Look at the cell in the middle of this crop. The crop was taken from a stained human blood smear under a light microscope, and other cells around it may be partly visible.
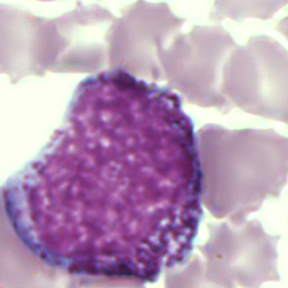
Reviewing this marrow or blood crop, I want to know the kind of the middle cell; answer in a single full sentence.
In the central position of this crop, the cell is a promyelocyte.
